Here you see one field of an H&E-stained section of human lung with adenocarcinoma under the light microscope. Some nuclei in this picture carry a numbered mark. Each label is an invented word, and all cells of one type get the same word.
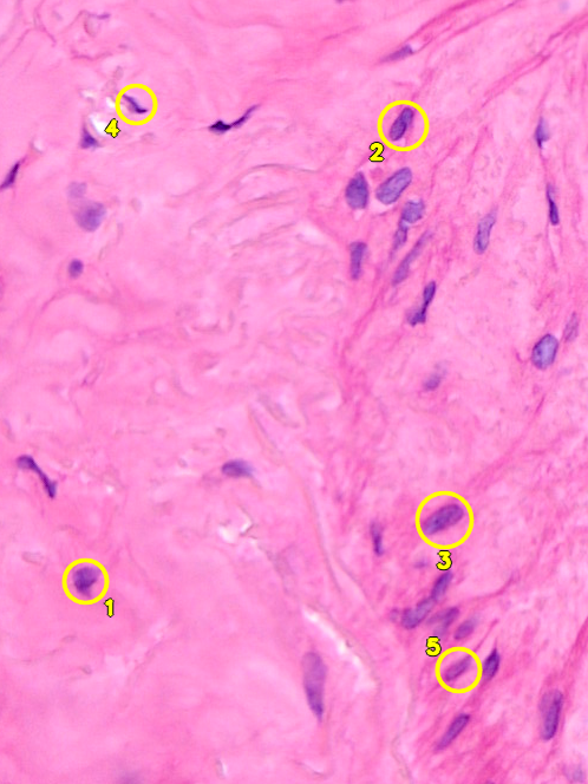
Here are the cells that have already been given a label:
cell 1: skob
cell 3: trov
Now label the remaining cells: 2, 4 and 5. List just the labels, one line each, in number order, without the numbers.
trov
skob
trov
